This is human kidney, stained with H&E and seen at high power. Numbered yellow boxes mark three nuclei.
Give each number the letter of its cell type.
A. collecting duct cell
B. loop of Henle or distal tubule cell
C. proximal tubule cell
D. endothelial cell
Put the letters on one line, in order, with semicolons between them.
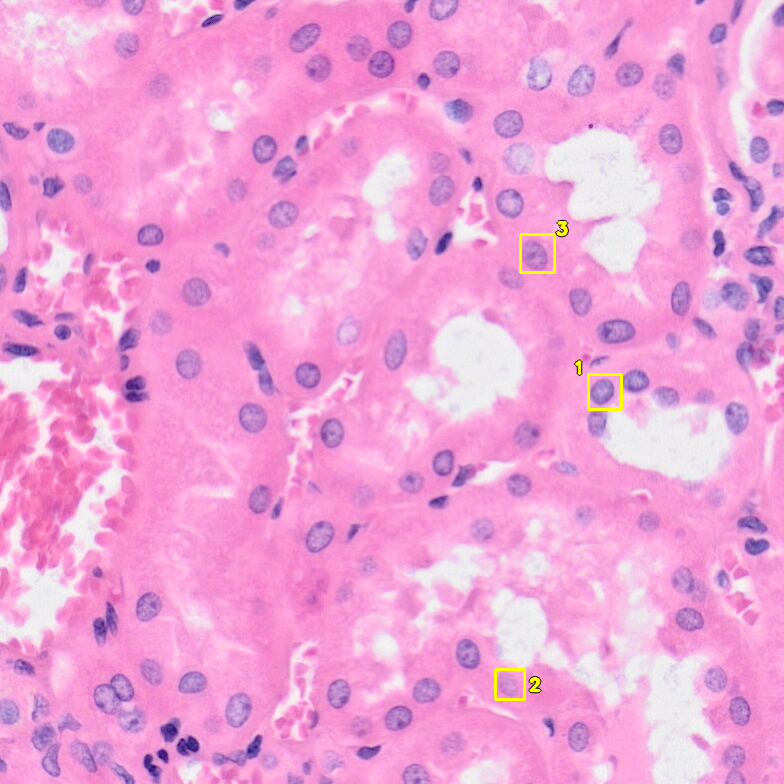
B; C; C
